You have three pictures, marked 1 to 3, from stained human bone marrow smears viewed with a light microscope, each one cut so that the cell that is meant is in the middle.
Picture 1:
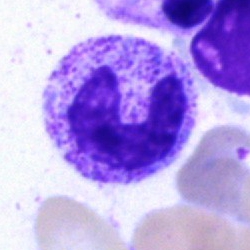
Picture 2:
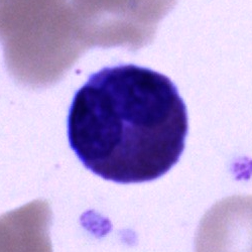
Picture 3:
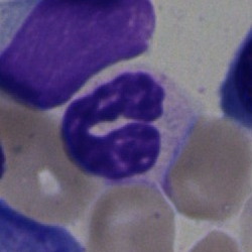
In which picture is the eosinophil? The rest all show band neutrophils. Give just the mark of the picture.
2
